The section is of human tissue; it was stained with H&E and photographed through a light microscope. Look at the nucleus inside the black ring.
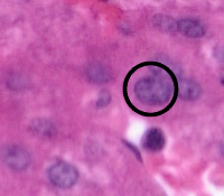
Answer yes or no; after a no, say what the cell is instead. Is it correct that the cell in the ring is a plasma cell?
No, it is a hepatocyte.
